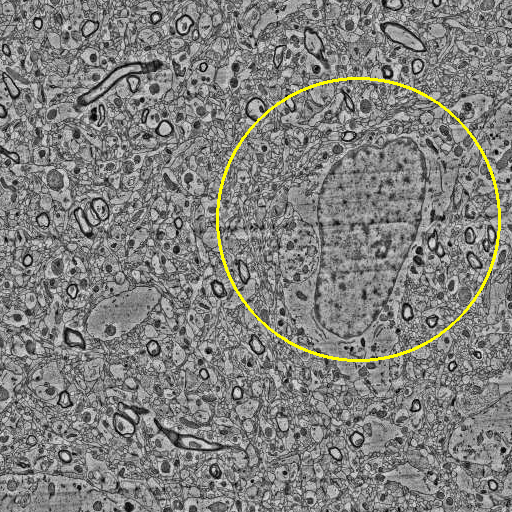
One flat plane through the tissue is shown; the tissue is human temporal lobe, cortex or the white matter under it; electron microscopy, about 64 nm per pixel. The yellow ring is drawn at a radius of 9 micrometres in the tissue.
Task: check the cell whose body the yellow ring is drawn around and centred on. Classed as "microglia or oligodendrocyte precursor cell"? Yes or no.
Yes, it is classed that way.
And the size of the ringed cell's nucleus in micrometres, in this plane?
In this plane, about 13 by 7 micrometres: the nucleus is clearly longer than it is wide.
